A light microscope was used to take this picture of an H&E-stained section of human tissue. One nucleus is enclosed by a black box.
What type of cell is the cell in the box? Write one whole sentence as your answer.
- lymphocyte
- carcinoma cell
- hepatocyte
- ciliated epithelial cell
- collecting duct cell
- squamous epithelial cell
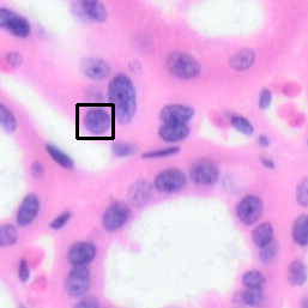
What the cell in the box represents is a collecting duct cell.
